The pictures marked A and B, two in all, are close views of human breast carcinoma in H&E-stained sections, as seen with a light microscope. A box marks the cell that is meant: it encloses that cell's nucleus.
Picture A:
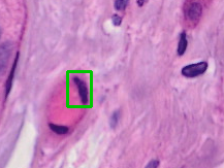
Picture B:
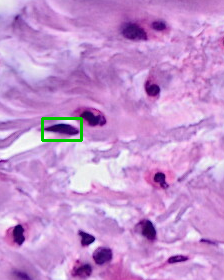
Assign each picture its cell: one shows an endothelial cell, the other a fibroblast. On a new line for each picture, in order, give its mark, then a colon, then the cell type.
A: endothelial cell
B: fibroblast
